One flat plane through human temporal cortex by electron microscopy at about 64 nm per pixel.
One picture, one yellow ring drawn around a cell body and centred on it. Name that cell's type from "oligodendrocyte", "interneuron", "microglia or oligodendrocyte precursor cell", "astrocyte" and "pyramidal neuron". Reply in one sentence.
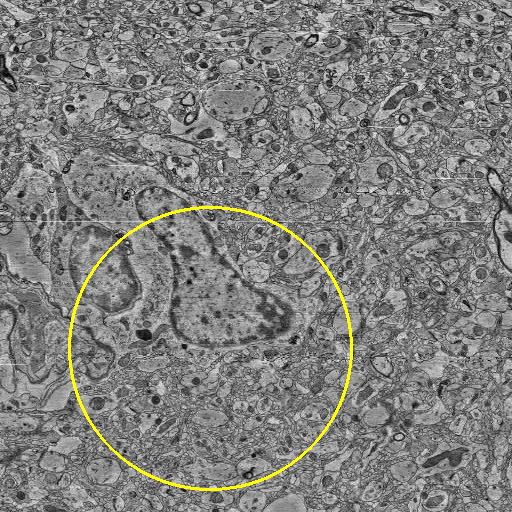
Centred in the ring is a microglial cell or oligodendrocyte precursor cell.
